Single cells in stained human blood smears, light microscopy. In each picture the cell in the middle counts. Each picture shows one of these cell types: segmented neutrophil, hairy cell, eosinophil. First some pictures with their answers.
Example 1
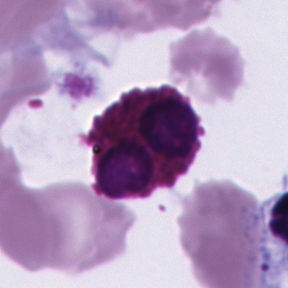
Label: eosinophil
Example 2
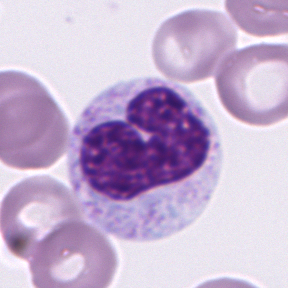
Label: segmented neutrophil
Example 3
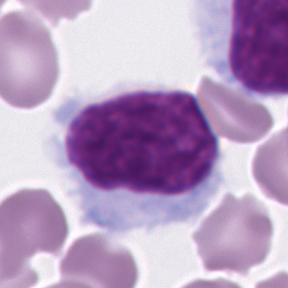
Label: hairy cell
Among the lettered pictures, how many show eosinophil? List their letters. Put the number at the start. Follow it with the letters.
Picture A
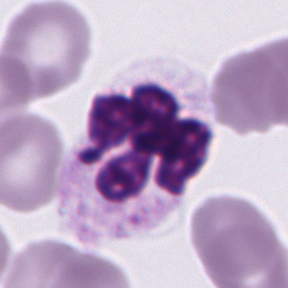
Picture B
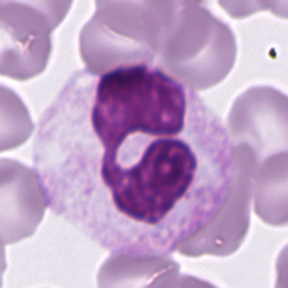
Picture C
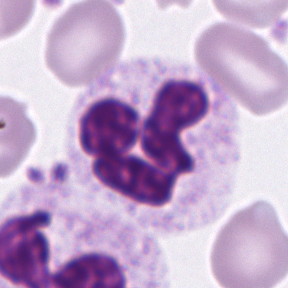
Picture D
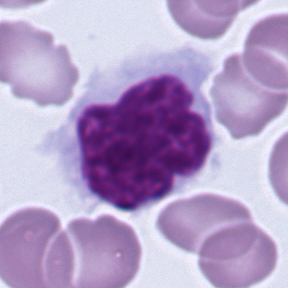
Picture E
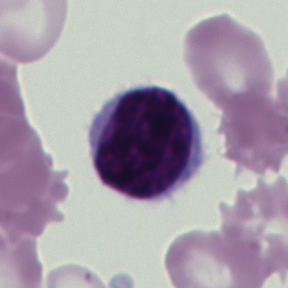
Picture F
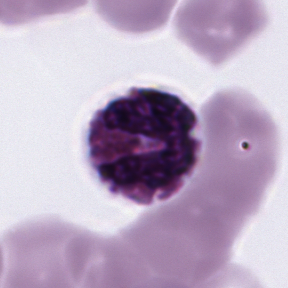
1, namely F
